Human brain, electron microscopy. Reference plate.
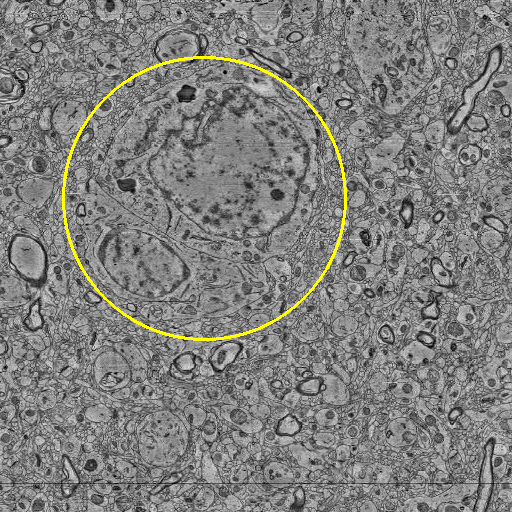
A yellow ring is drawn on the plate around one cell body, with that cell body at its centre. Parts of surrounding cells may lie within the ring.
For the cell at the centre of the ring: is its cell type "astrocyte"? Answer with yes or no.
No, its cell type is another one.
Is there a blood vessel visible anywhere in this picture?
No, no vessel shows anywhere in the image.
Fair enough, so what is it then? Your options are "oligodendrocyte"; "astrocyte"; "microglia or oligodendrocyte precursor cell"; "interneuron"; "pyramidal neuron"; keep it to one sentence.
The cell shown in the ring is an interneuron.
